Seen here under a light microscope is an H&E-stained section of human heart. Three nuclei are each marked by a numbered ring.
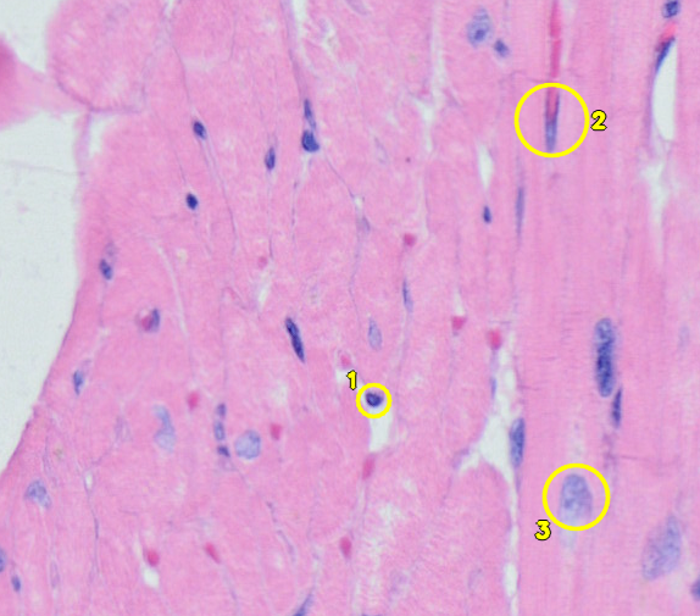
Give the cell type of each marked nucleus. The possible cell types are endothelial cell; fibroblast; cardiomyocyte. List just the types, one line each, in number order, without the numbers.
endothelial cell
endothelial cell
cardiomyocyte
